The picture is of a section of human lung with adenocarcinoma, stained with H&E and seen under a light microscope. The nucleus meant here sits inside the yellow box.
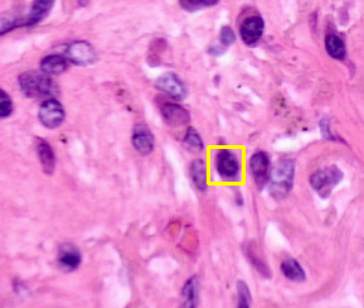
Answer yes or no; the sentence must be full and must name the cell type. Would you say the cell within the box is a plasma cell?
Yes, in short, the cell within the box is a plasma cell here.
